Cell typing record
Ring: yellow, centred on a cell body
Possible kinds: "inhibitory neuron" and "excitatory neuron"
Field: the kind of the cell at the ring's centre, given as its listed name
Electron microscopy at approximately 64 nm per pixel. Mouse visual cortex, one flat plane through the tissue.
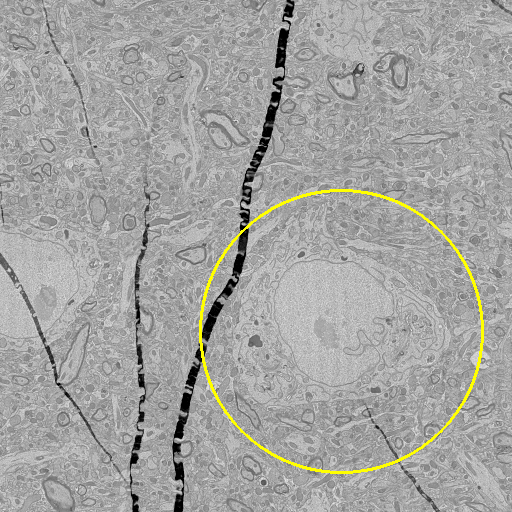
inhibitory neuron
